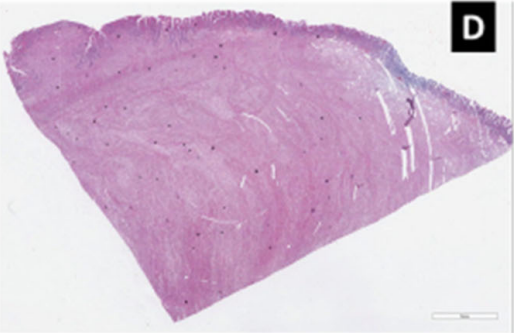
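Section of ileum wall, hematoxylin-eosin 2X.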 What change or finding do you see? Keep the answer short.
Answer: Transmural nodular proliferation.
